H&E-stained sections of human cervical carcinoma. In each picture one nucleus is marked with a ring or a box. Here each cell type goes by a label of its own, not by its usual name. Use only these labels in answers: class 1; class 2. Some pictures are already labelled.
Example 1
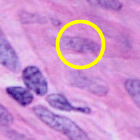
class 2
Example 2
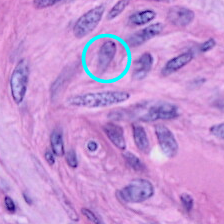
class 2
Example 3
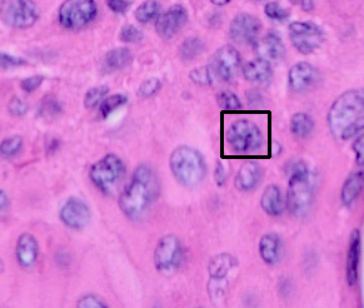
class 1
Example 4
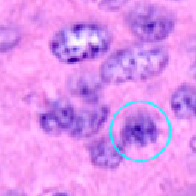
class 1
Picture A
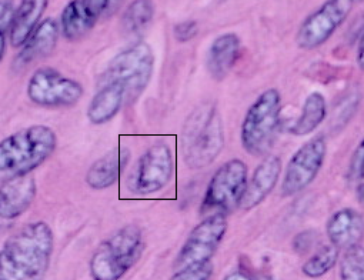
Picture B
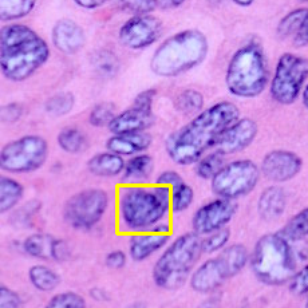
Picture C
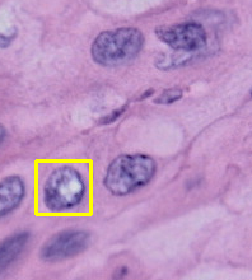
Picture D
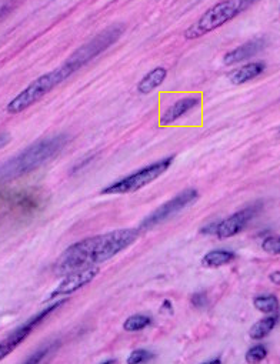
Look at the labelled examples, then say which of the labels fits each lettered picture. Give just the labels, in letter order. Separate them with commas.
class 1, class 1, class 1, class 2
